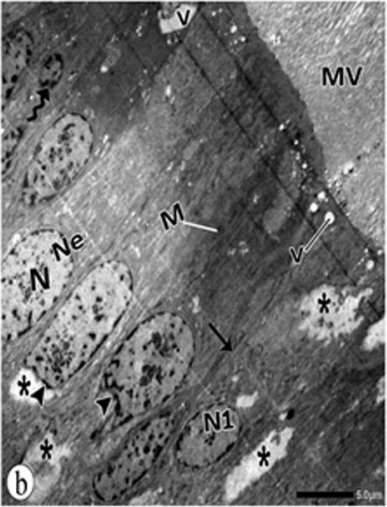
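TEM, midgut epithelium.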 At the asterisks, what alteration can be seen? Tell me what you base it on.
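Lytic cytoplasm. The asterisks lie on pale, electron-lucent patches where the cytoplasm has lost its dense content. These patches sit among darker intact cytoplasm near the nuclei.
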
